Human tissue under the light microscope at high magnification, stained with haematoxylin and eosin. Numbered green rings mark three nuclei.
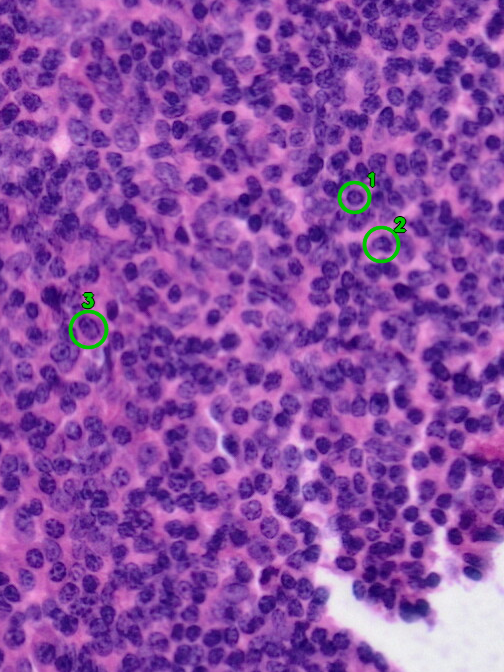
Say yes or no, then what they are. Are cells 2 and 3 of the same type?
No, cell 2 is a small lymphocyte, whereas a plasma cell is what cell 3 is.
